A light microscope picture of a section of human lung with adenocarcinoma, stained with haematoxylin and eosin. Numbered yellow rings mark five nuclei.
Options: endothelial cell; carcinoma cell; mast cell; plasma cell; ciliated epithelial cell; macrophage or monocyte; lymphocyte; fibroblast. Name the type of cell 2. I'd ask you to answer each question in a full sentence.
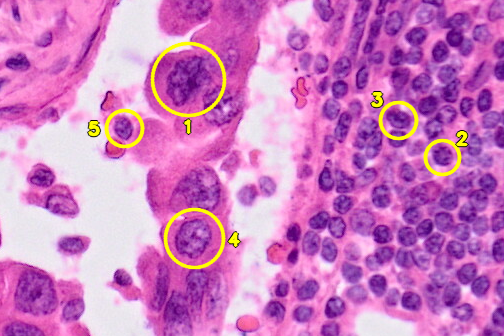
The cell that goes by number 2 is a lymphocyte.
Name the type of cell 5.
The marked nucleus 5 is that of a lymphocyte.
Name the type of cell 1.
In the marked set, the cell given number 1 is a carcinoma cell.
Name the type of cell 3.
The cell carrying label 3 is identified as a lymphocyte.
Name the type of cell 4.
The label 4 in this section denotes a carcinoma cell.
